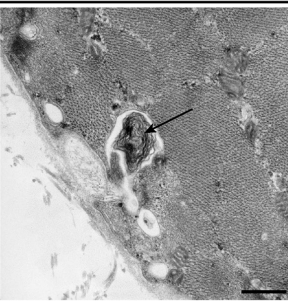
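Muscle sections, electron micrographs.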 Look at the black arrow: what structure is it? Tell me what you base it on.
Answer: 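The arrow points to a dark body made of tightly packed, concentric layered membranes. The body lies within the muscle fibre near its edge.
Conclusion: myelinated bodies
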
